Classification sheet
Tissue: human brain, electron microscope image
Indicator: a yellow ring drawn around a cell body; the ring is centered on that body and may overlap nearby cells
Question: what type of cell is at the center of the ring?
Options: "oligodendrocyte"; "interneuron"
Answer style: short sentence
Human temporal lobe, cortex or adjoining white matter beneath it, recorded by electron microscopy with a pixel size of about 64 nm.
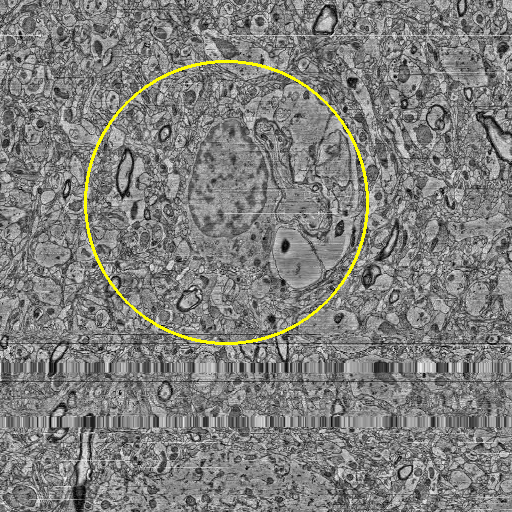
At the ring's center is an oligodendrocyte.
